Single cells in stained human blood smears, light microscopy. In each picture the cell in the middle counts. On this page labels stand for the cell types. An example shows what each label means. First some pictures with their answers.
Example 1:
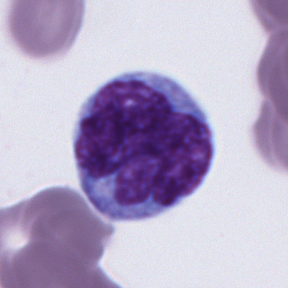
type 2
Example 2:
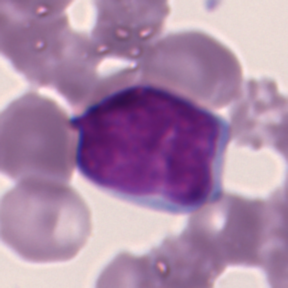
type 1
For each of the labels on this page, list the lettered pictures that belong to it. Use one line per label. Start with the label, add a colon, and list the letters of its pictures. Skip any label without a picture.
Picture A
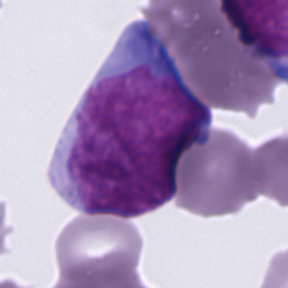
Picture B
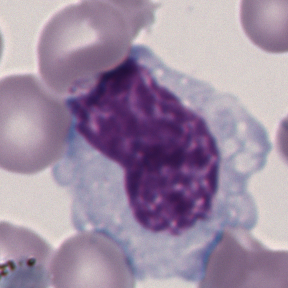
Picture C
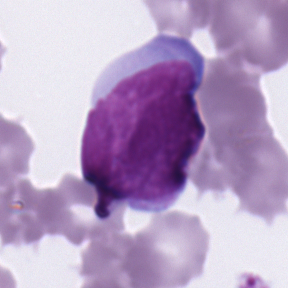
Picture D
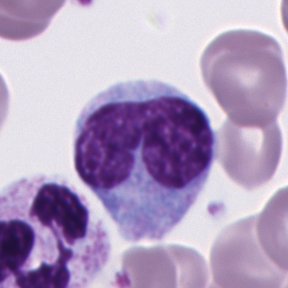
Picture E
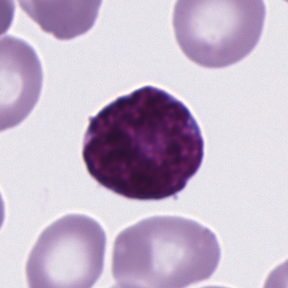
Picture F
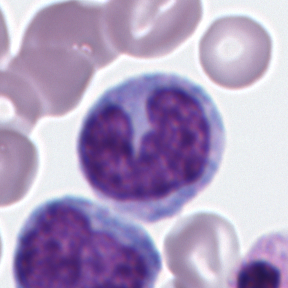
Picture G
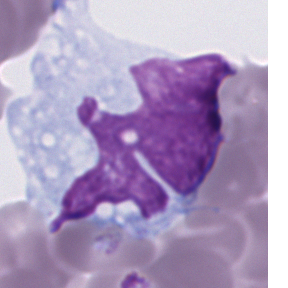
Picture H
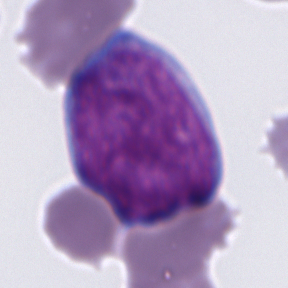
type 2: B, D, F, G
type 1: A, C, E, H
